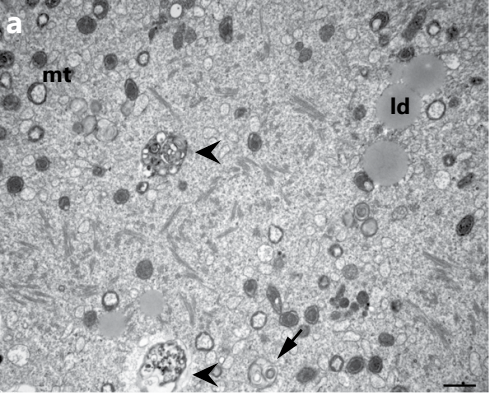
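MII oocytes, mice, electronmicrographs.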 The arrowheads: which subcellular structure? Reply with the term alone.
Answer: Autophagic-like vesicles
